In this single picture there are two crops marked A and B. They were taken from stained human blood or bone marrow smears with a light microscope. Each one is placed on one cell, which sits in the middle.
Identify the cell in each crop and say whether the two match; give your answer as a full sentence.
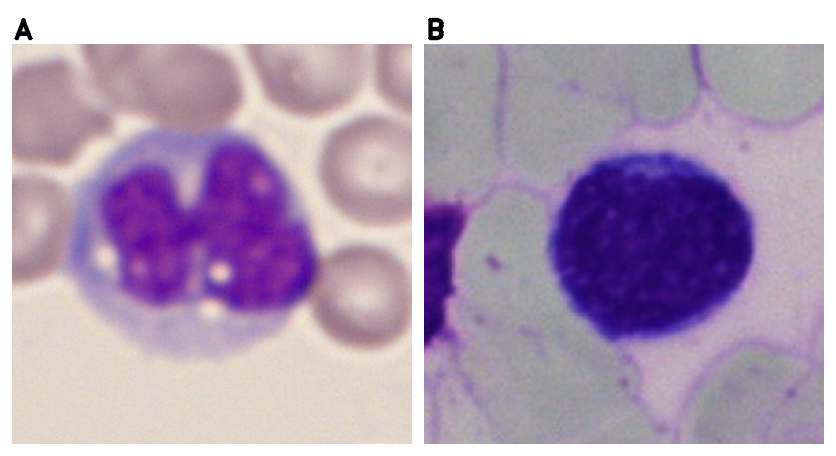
No, whereas crop A shows a monocyte, crop B shows a lymphocyte.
